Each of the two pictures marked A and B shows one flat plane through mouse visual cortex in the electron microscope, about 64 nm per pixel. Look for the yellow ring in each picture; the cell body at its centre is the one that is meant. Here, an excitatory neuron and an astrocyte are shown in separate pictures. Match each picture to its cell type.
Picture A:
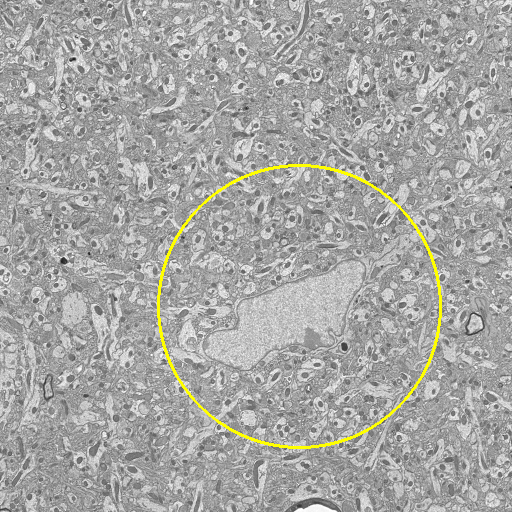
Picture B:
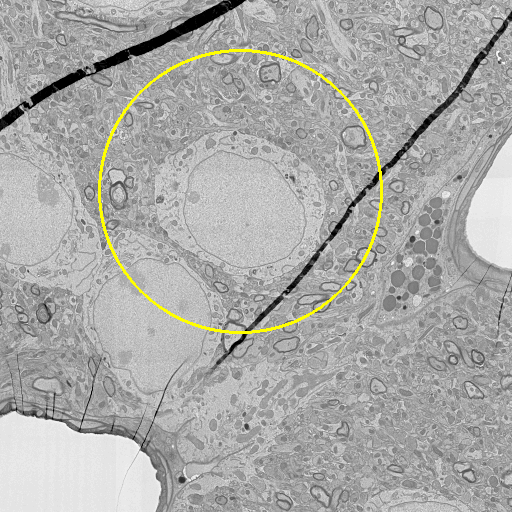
Picture A is of an astrocyte, and picture B is of an excitatory neuron.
